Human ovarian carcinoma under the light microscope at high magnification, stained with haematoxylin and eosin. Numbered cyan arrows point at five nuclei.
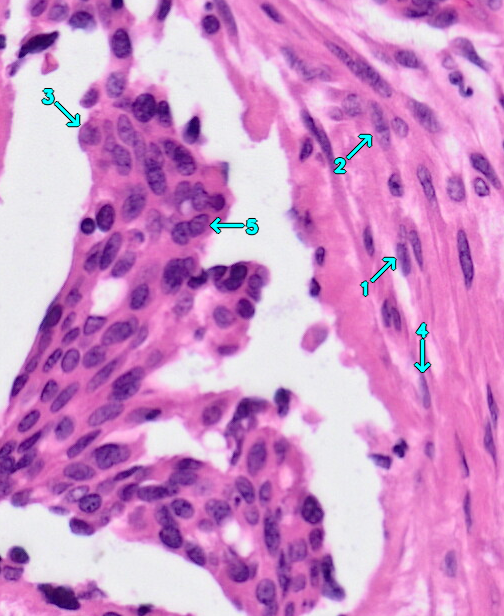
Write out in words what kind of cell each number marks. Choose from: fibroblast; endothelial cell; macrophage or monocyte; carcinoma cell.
Cell 1 is a fibroblast, cell 2 is a fibroblast, cell 3 is a carcinoma cell, cell 4 is a fibroblast and cell 5 is a carcinoma cell.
